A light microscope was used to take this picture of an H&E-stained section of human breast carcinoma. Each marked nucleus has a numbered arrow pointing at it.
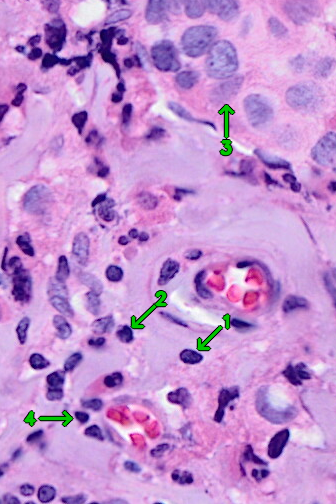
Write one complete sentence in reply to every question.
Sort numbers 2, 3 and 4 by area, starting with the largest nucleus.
From largest to smallest, the order is 3, 2, 4.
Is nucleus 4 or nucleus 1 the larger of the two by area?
Number 1 is larger; its area is about 2 times that of number 4.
